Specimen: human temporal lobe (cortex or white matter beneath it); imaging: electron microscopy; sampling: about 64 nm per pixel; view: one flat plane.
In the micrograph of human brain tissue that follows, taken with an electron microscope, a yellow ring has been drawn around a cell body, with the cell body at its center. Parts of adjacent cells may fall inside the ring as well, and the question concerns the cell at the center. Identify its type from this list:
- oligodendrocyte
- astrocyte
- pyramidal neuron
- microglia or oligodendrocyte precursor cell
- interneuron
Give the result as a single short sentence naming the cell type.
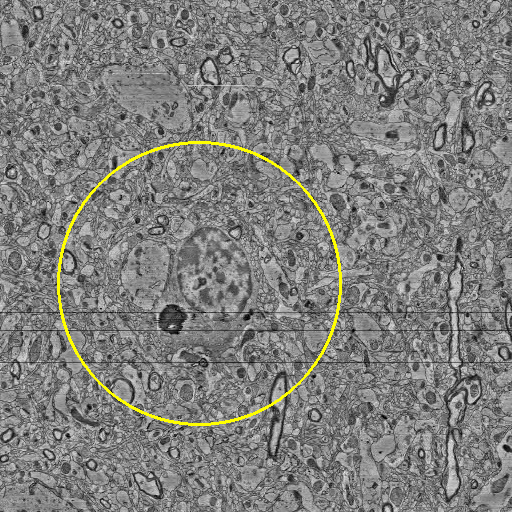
The ring is centered on an oligodendrocyte.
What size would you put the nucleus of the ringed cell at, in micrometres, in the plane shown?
The nucleus has a long axis of about 6 micrometres and a short axis of about 5 micrometres in this plane.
